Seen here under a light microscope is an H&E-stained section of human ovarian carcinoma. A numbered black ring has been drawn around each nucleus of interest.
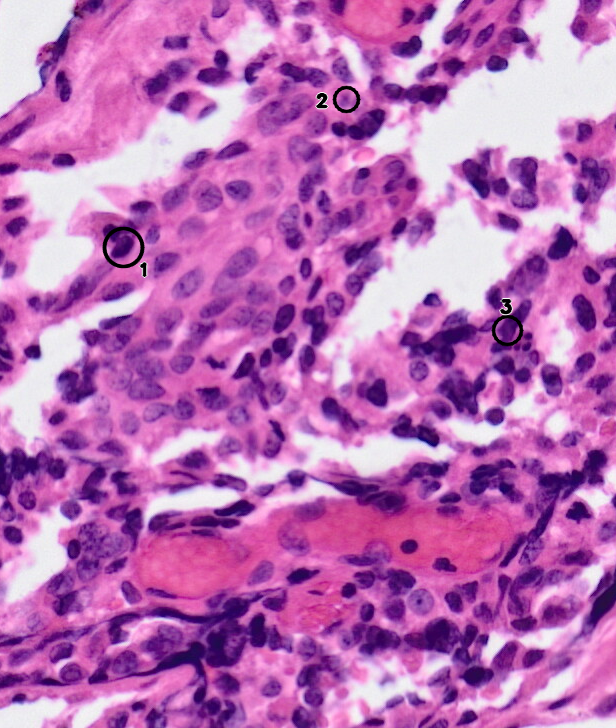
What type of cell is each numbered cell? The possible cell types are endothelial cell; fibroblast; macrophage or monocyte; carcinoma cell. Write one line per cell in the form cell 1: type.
cell 1: carcinoma cell
cell 2: macrophage or monocyte
cell 3: carcinoma cell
